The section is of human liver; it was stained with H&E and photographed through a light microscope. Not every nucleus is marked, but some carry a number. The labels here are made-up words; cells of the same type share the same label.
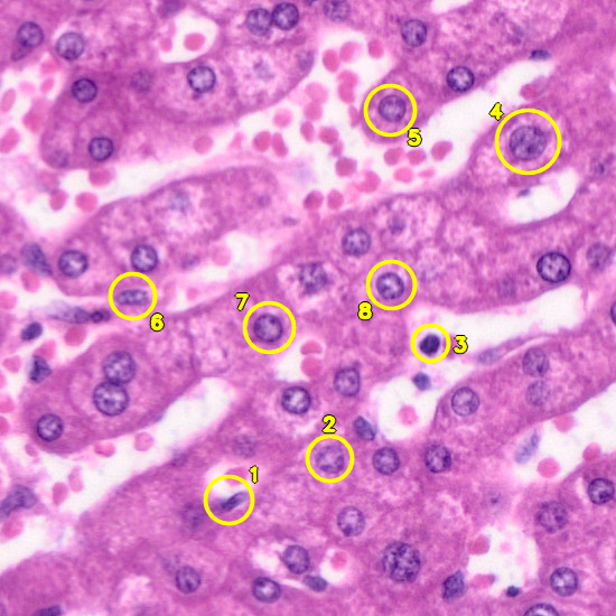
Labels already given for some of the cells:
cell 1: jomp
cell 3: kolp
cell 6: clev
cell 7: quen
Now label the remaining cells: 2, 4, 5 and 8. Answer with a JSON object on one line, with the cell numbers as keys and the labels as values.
{"2": "quen", "4": "quen", "5": "quen", "8": "quen"}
